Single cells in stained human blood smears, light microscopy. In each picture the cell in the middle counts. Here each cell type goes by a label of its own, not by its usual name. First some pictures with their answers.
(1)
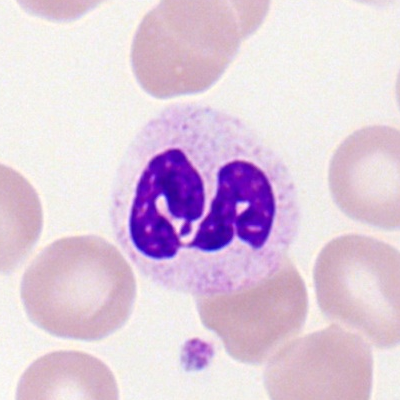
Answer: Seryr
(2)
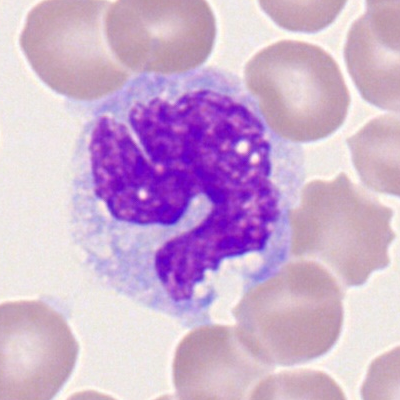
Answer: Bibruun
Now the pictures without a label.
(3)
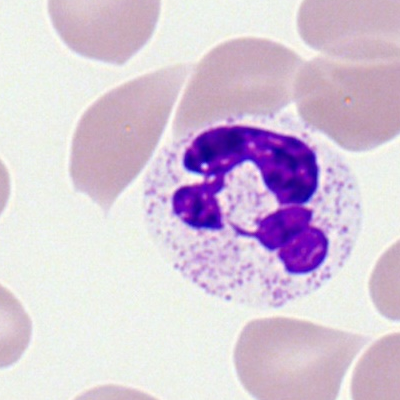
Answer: Seryr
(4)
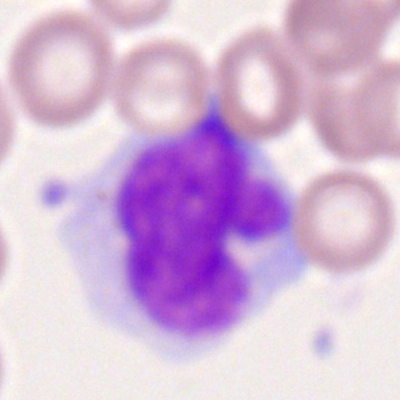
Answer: Bibruun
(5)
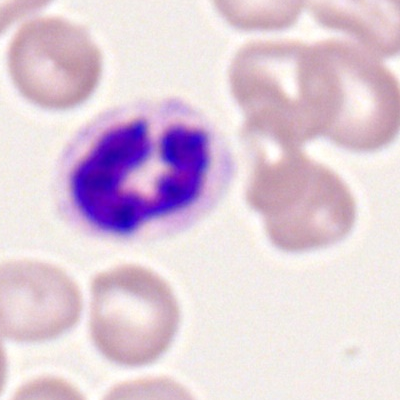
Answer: Seryr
